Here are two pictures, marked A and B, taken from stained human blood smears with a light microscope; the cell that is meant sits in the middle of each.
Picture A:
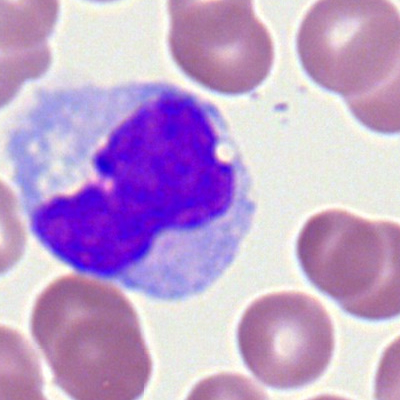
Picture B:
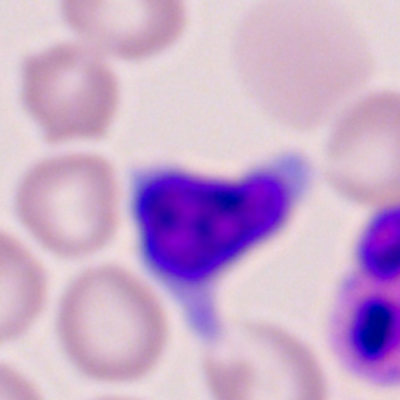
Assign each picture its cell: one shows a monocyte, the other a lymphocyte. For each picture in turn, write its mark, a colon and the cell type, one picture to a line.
A: monocyte
B: lymphocyte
